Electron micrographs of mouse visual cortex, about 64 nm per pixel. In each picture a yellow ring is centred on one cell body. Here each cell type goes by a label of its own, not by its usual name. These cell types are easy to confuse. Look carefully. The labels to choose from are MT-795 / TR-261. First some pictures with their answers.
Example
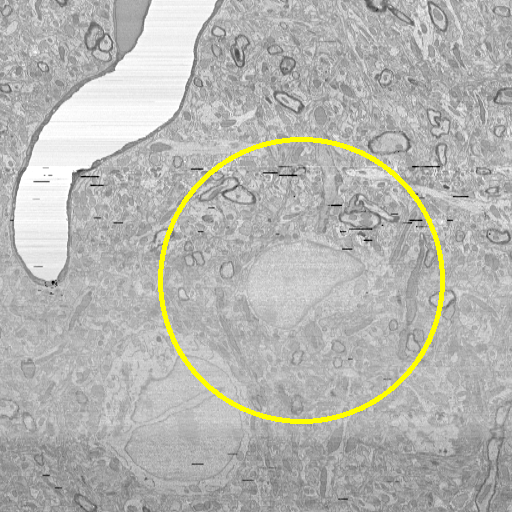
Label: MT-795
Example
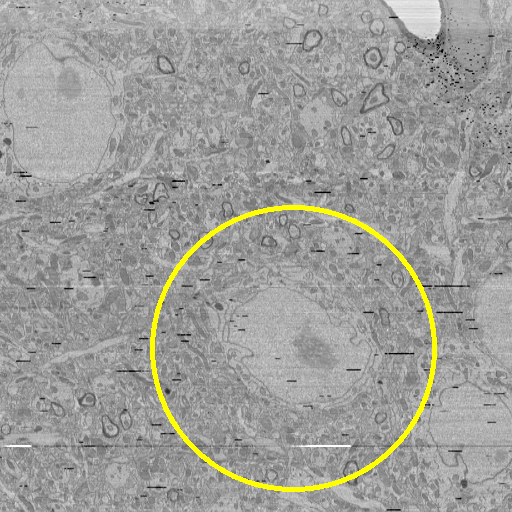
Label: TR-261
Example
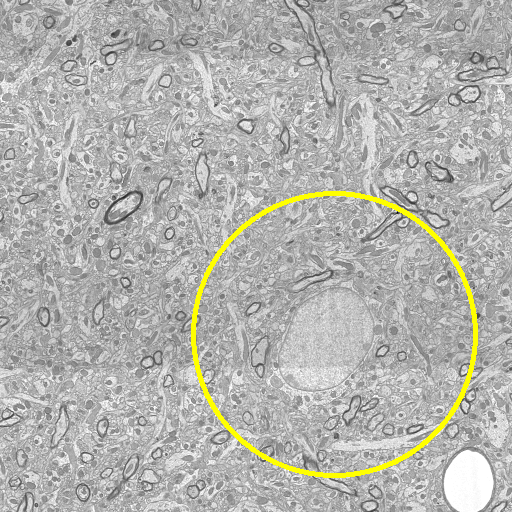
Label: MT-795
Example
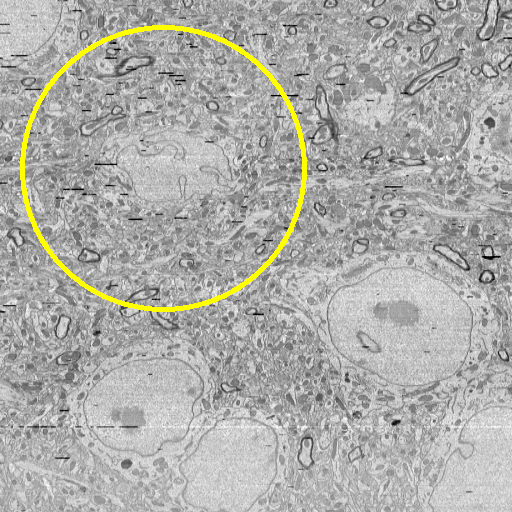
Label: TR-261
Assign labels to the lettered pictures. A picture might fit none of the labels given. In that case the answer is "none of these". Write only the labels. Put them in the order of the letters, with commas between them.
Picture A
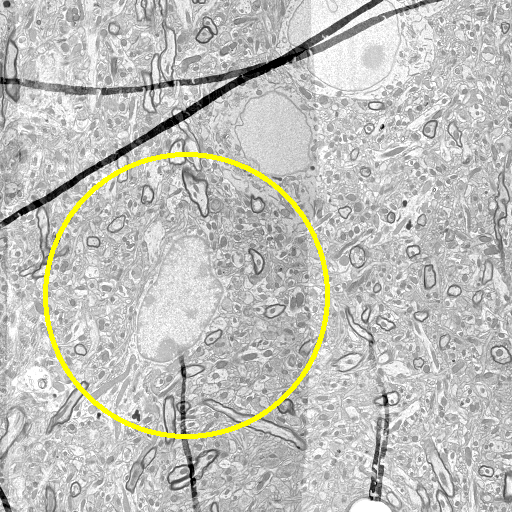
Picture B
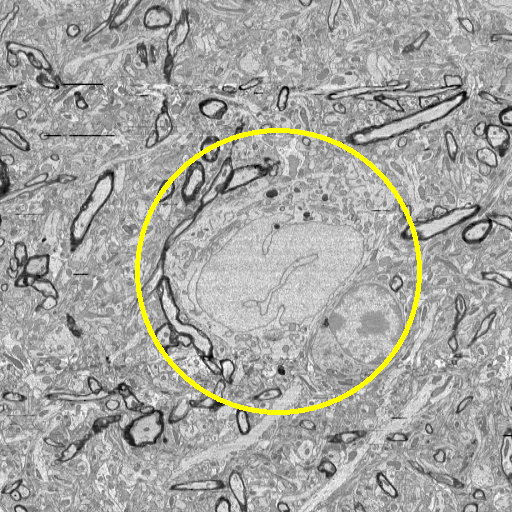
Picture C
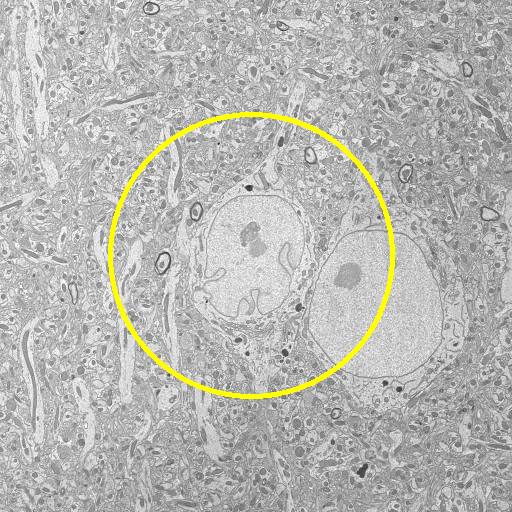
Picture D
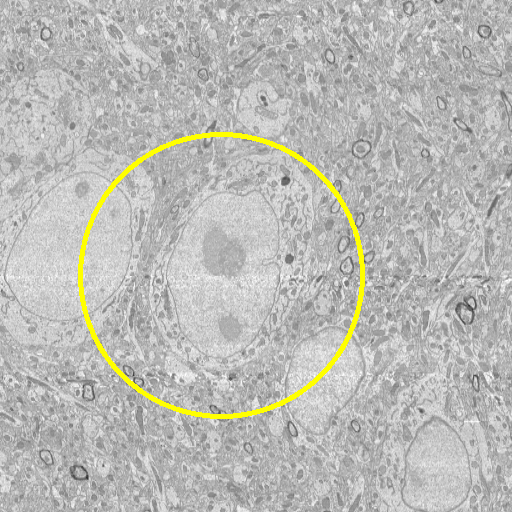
MT-795, TR-261, TR-261, TR-261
